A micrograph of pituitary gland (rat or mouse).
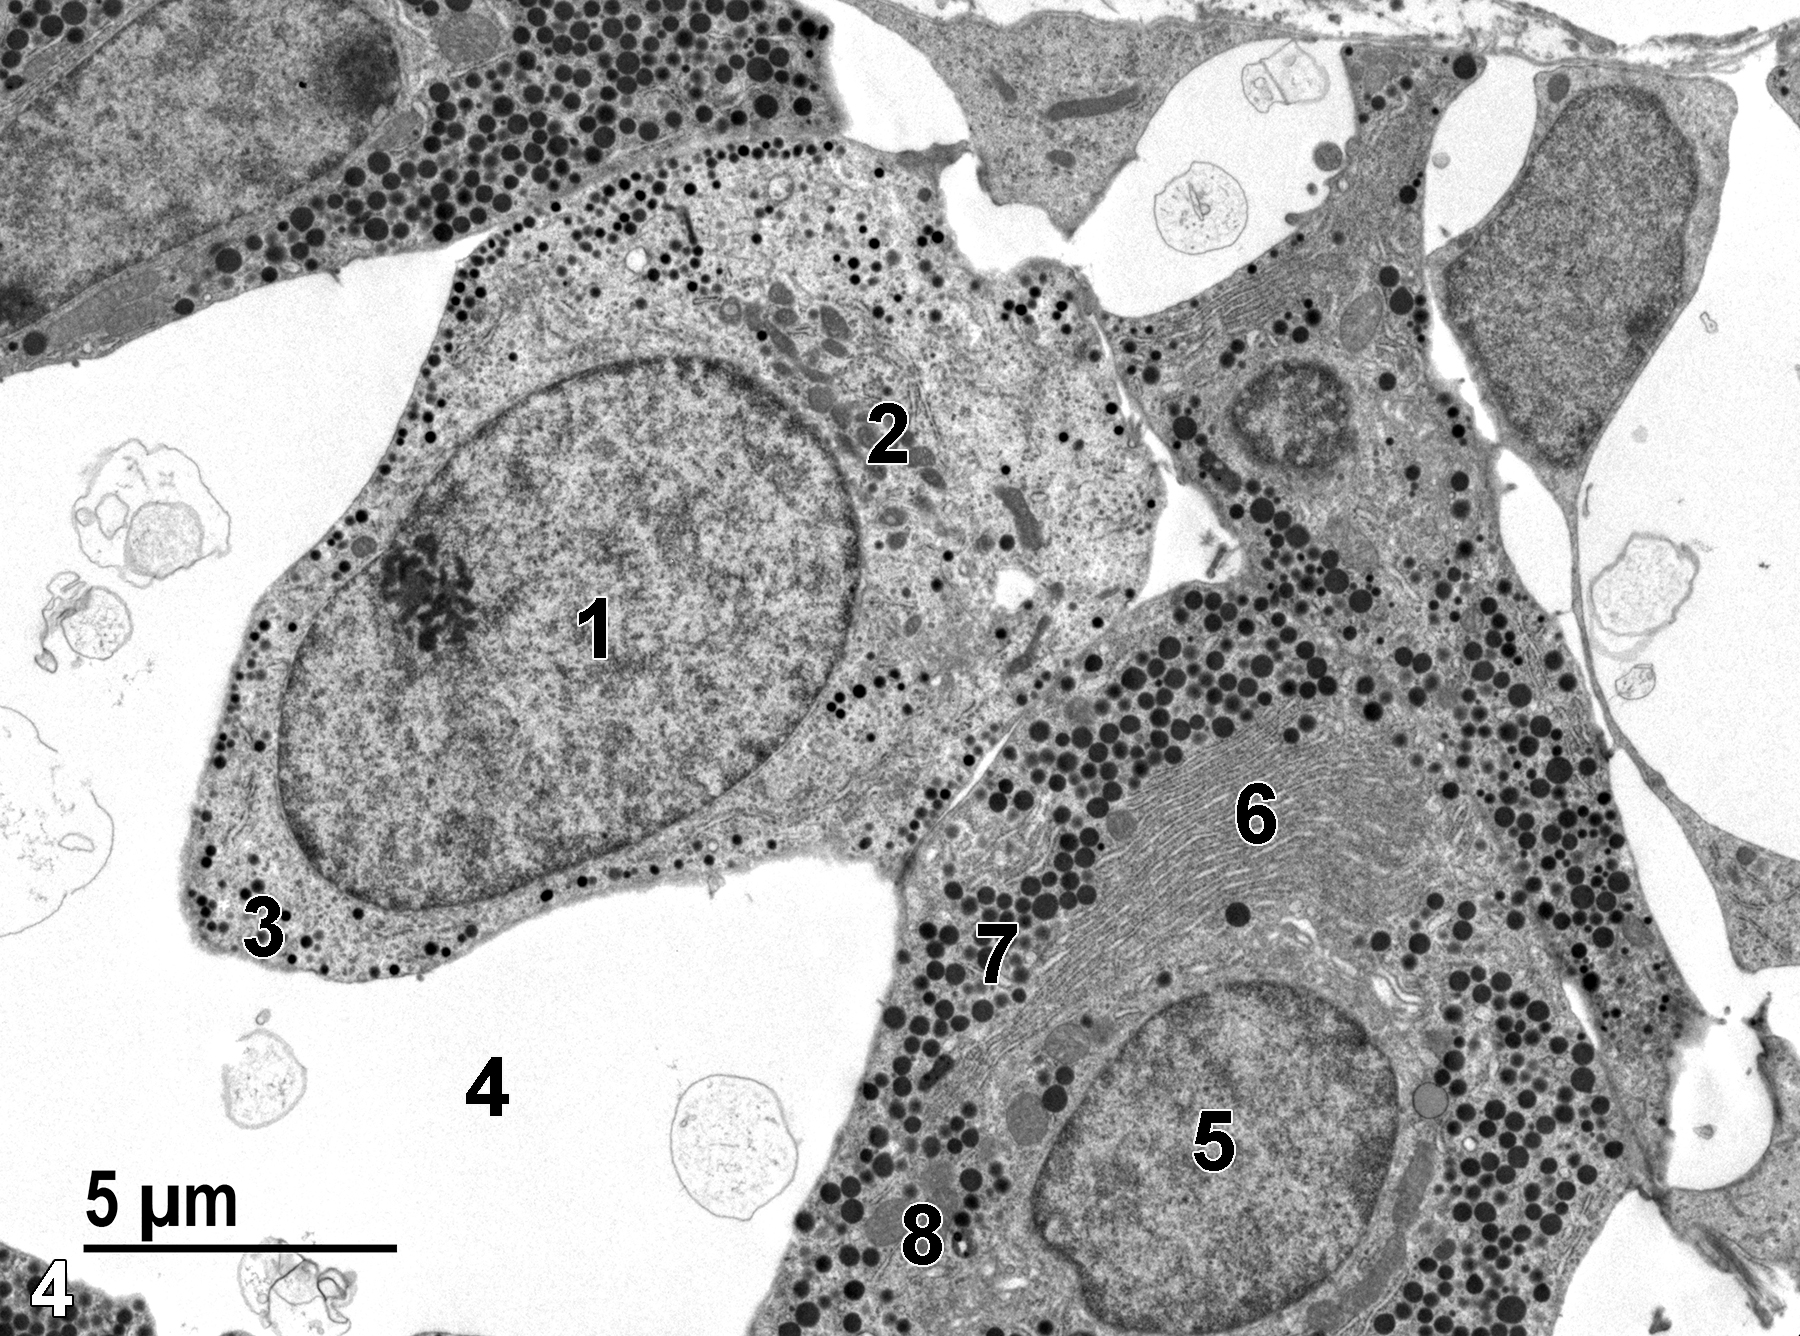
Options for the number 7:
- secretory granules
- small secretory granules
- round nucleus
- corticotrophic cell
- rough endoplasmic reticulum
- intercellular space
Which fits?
secretory granules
